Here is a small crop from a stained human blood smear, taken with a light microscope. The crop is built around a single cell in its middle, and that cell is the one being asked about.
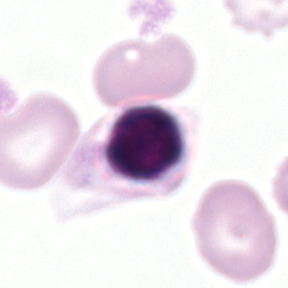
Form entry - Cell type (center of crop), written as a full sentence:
The cell sitting right in the middle is a normoblast.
